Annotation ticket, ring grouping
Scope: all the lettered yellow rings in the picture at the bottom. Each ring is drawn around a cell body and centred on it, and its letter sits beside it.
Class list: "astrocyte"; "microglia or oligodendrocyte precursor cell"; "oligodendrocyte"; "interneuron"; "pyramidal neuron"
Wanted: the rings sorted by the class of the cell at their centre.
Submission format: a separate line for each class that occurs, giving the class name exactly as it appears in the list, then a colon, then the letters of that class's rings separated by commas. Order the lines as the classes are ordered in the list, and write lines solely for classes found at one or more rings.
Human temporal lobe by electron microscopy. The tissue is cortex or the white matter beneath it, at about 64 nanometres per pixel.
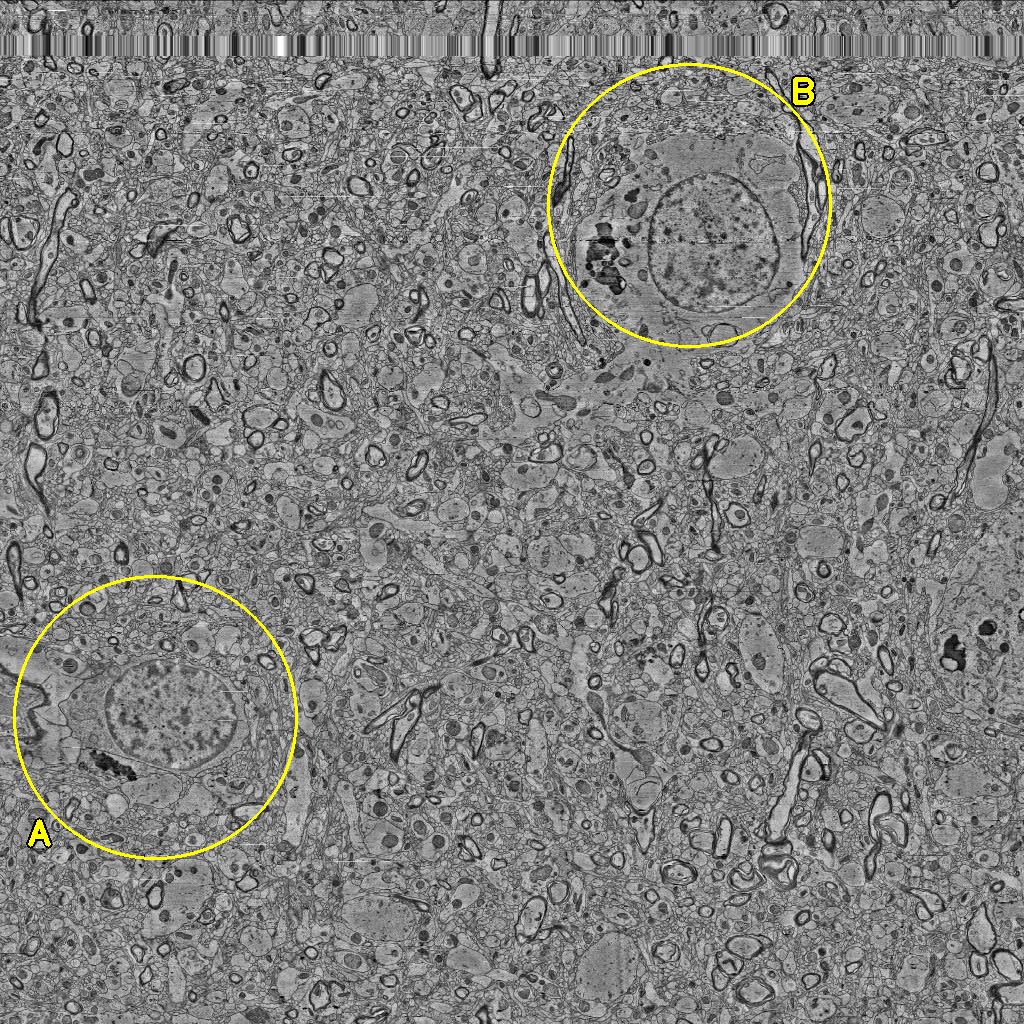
astrocyte: B
oligodendrocyte: A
